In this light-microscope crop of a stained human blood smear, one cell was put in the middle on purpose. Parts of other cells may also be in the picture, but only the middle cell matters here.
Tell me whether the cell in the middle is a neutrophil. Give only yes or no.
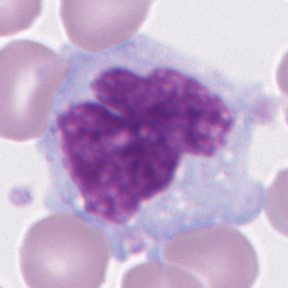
no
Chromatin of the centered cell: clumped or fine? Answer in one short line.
Heads up, the chromatin is fine with no coarse clumps in it.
